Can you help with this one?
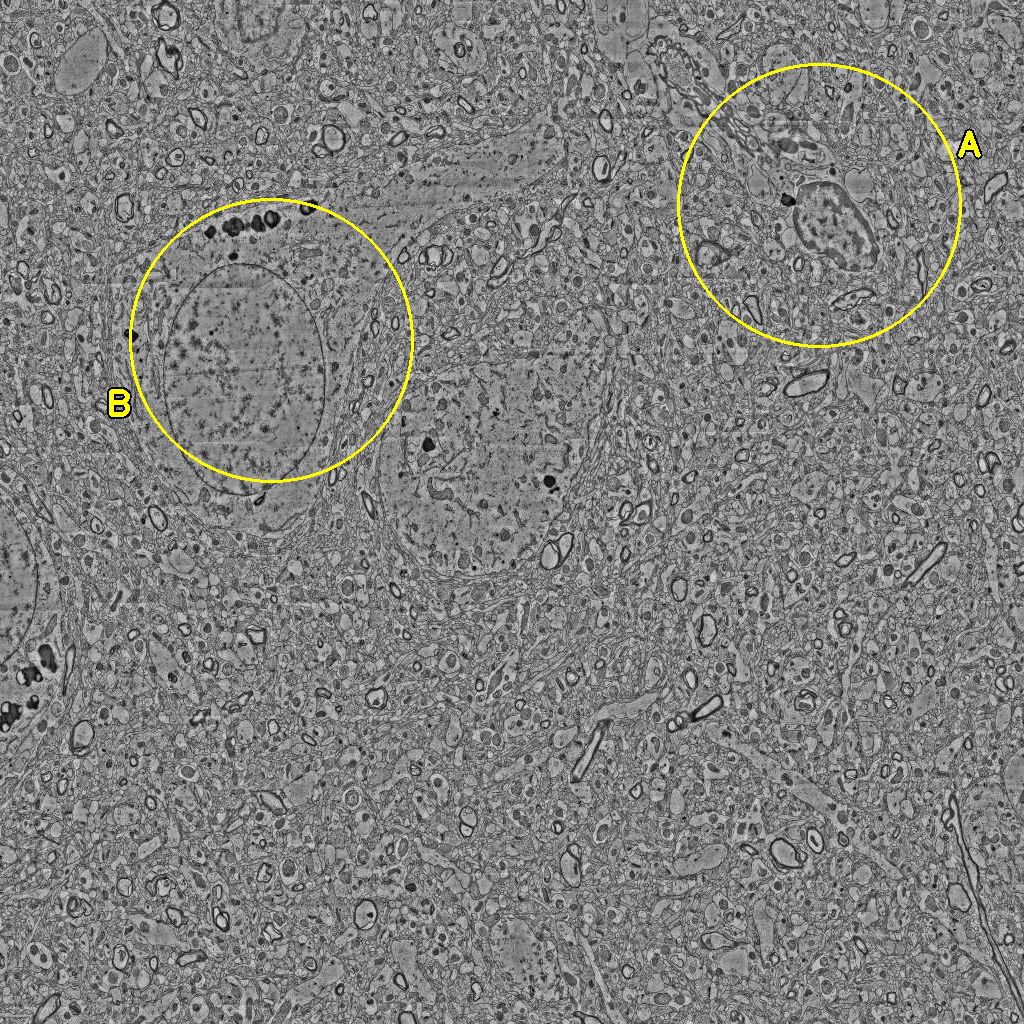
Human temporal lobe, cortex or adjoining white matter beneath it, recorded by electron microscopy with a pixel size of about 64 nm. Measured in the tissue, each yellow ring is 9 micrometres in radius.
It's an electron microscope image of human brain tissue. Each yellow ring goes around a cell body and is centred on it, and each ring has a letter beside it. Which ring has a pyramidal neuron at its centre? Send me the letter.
B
